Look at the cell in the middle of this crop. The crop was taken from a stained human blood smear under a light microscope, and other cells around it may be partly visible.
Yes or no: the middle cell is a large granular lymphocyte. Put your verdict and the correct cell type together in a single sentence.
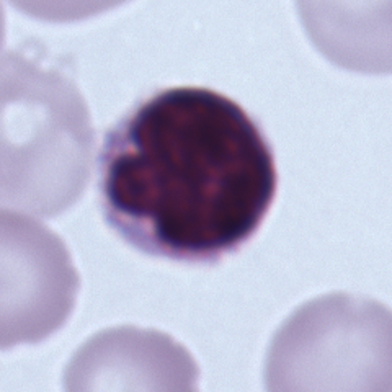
No, the central cell does not count as a large granular lymphocyte; it is a typical lymphocyte.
